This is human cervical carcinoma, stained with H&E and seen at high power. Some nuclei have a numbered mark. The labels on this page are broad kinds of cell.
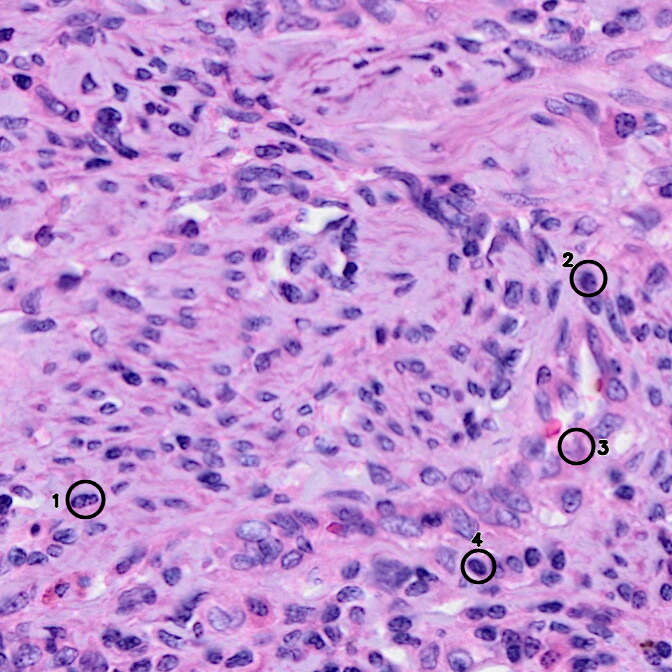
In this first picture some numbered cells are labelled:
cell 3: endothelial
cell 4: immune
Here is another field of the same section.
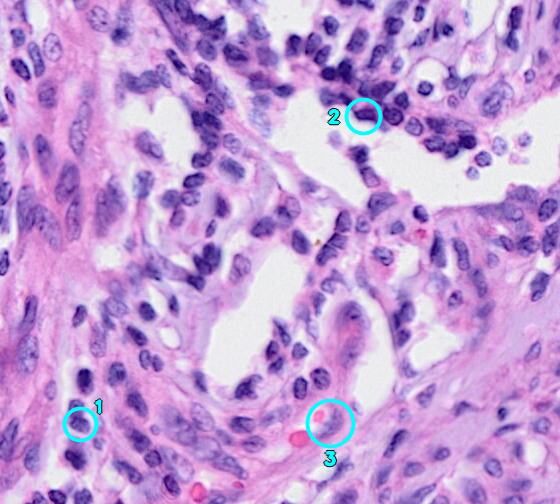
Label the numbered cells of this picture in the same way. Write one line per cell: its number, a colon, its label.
1: immune
2: immune
3: endothelial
